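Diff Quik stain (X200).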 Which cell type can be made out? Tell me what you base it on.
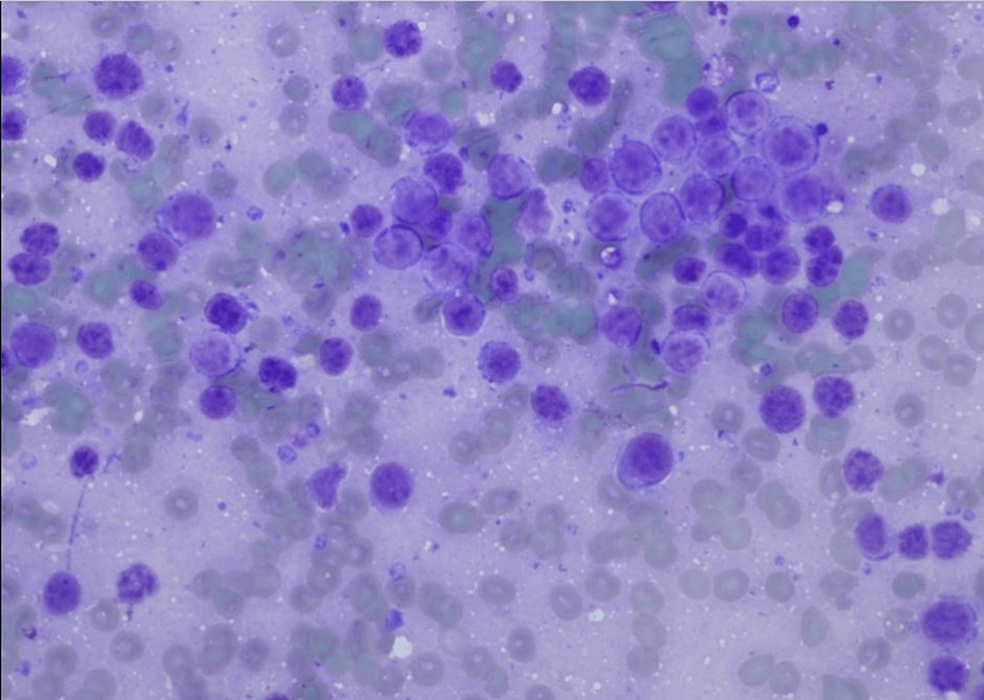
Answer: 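Immature lymphoid cells. Many dispersed, single, non-cohesive round cells. Round nuclei fill most of each cell, leaving a thin rim of cytoplasm. Nuclei are somewhat larger than the surrounding red blood cells. The cells lie in a background of many pale red blood cells.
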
